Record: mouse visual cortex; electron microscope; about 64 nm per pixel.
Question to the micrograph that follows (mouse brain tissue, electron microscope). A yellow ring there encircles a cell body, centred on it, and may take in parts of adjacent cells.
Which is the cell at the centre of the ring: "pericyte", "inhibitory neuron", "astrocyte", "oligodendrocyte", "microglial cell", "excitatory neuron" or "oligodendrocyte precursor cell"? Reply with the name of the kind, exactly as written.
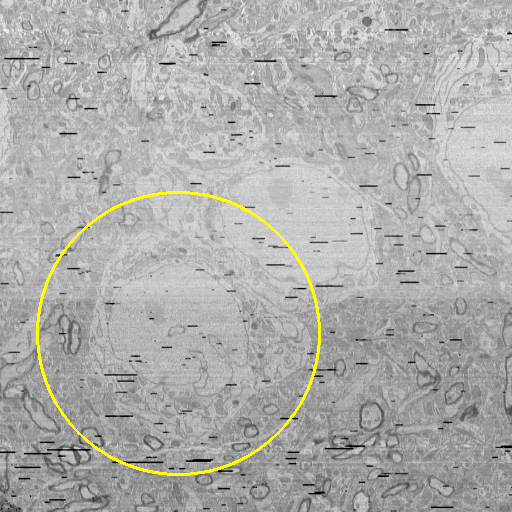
inhibitory neuron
